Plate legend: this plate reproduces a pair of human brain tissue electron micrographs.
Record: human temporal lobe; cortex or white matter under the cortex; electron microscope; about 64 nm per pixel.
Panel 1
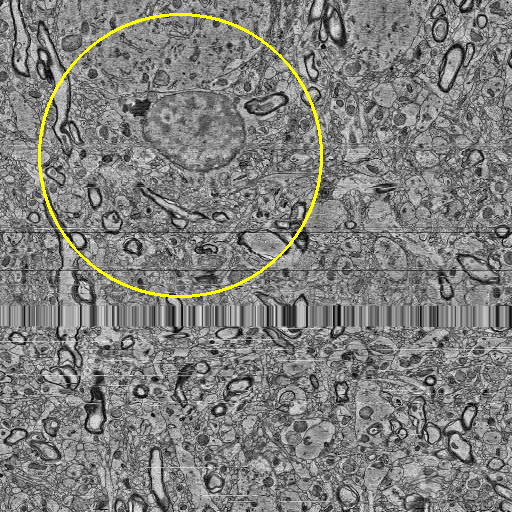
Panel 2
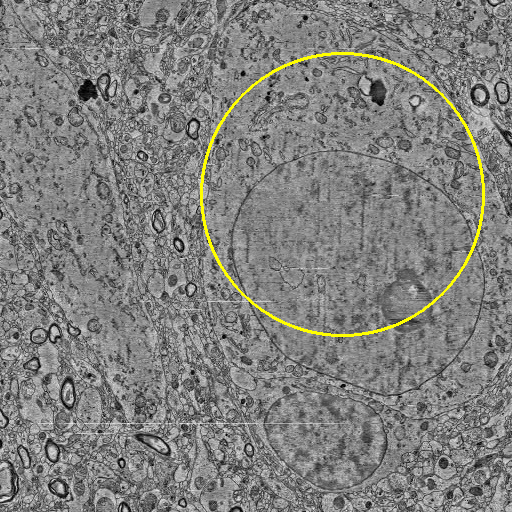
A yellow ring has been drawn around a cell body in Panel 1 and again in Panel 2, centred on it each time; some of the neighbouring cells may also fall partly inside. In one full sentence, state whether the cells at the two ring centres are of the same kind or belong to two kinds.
The ring-centred cells of Panel 1 and Panel 2 belong to two kinds.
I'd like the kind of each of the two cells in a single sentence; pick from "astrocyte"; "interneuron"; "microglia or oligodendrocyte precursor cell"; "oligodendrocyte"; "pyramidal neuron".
The first ring marks an oligodendrocyte, and the second ring marks a pyramidal neuron.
